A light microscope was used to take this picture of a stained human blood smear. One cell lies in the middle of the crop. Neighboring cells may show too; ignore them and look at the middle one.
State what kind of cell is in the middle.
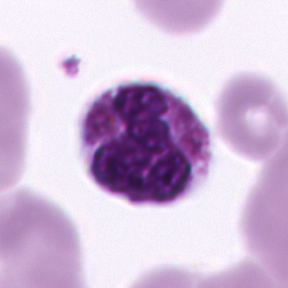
eosinophil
